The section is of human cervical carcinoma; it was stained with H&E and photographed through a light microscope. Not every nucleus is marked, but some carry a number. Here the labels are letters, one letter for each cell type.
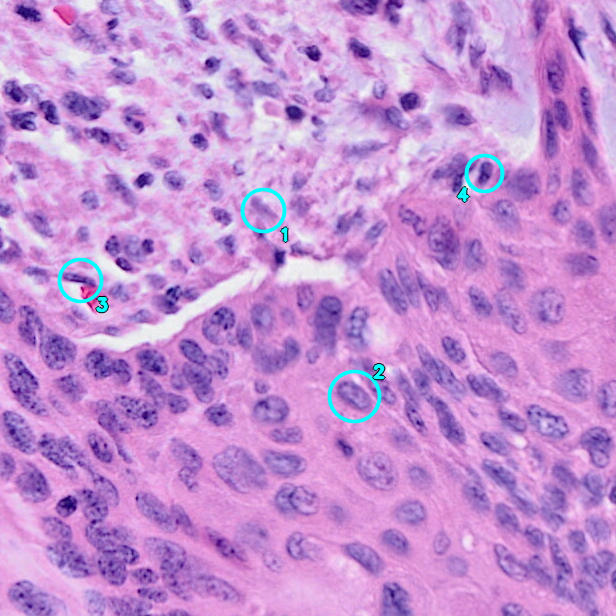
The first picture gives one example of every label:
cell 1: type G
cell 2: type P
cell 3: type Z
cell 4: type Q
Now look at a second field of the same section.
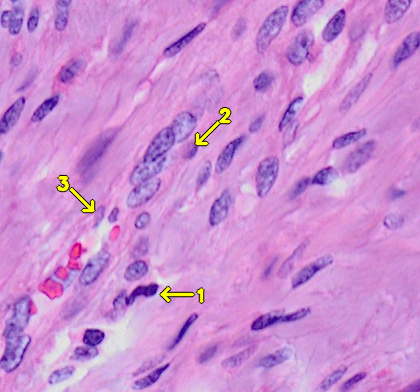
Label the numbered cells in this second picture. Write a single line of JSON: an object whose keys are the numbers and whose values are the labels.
{"1": "type Q", "2": "type Z", "3": "type Z"}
